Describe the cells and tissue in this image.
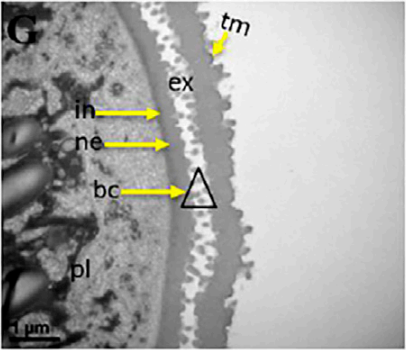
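This electron micrograph shows the edge of a pollen grain with its layered wall. On the left lies the grain's dense, finely granular cytoplasm containing several dark, elongated bodies. A thin pale inner band borders the cytoplasm, followed by a thin dark layer. Outside this, a thick electron-dense outer wall curves from top to bottom; it is interrupted by a row of small pale spaces separated by short dark pillars, and its outer surface carries numerous small spiky projections. Beyond the wall, on the right, is a pale, almost empty space.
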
